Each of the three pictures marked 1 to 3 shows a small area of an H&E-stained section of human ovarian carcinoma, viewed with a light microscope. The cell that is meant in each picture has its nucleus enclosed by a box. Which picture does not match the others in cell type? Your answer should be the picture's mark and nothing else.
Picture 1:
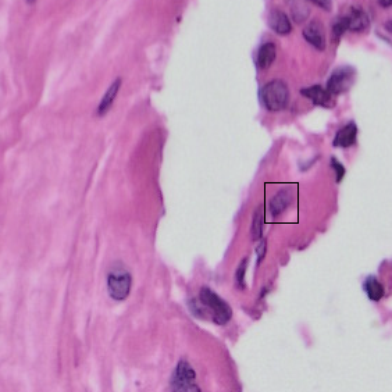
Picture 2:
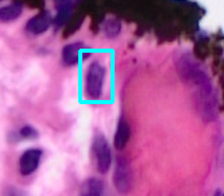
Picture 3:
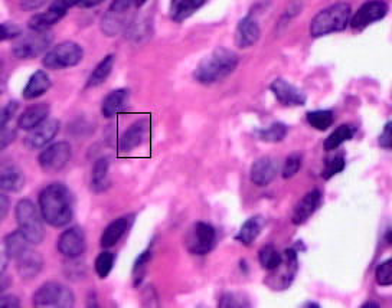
2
